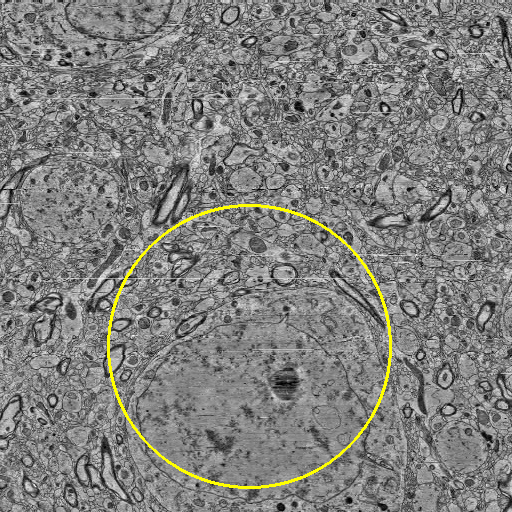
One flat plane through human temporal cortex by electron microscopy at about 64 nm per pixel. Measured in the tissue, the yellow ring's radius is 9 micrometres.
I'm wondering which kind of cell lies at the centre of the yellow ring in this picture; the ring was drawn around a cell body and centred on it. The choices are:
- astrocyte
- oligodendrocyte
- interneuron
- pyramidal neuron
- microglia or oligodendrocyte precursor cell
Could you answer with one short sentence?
At the centre of the ring lies a pyramidal neuron.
